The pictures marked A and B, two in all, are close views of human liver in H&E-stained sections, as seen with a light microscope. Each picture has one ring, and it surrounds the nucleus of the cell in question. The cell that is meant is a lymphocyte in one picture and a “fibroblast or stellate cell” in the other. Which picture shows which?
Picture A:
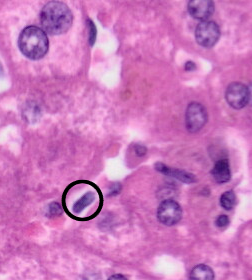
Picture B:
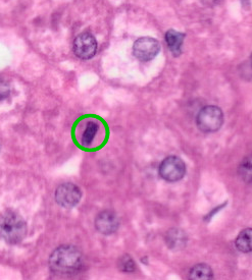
A: lymphocyte
B: fibroblast or stellate cell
